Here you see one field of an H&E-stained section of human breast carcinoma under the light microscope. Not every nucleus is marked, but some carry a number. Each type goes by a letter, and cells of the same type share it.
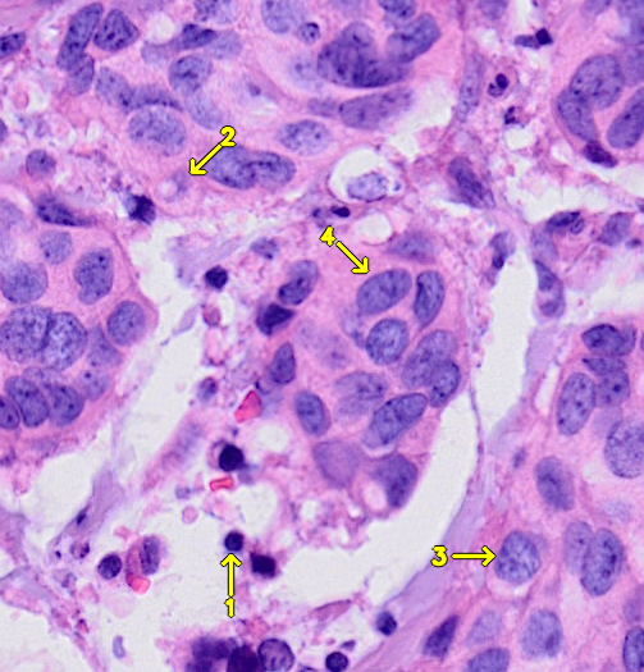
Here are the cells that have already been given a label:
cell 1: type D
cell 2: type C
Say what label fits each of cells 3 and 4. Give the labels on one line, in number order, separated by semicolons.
type C; type C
